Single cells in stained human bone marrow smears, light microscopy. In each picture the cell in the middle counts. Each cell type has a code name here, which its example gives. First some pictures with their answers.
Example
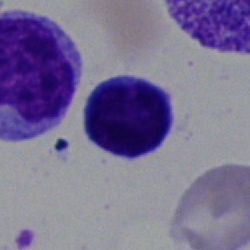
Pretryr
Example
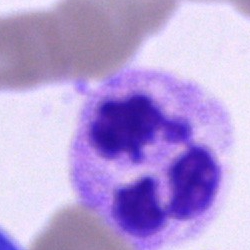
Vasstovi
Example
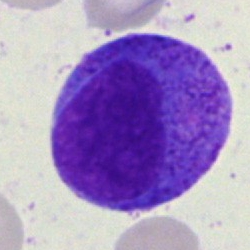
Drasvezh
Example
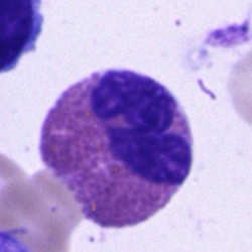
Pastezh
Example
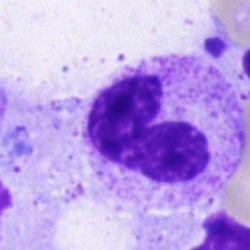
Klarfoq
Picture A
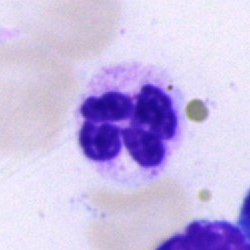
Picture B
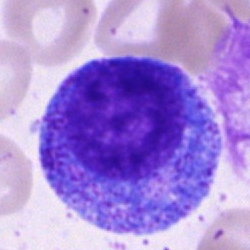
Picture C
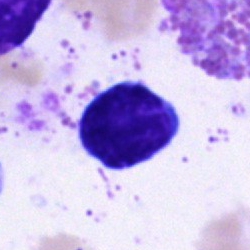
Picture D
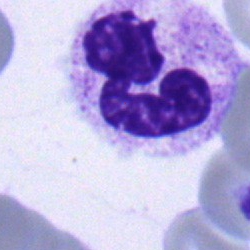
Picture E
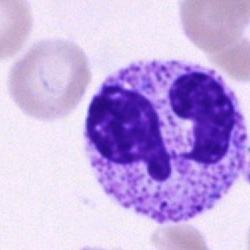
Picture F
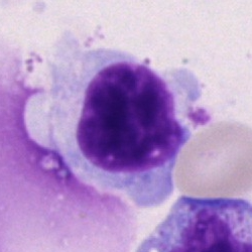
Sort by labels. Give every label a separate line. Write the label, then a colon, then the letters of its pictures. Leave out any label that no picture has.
Pretryr: C, F
Vasstovi: A, D, E
Drasvezh: B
